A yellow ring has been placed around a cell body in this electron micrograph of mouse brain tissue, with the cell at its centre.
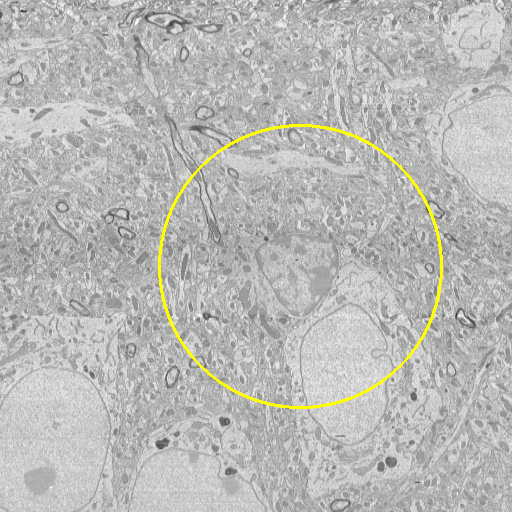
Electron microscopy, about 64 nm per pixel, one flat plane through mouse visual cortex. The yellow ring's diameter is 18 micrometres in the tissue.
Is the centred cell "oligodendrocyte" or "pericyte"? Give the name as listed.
oligodendrocyte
